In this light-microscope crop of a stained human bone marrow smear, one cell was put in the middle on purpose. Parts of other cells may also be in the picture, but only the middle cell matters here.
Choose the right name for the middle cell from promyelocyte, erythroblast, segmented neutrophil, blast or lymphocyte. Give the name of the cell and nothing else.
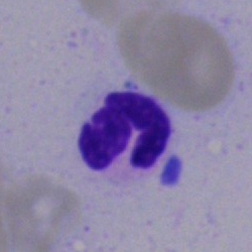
segmented neutrophil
